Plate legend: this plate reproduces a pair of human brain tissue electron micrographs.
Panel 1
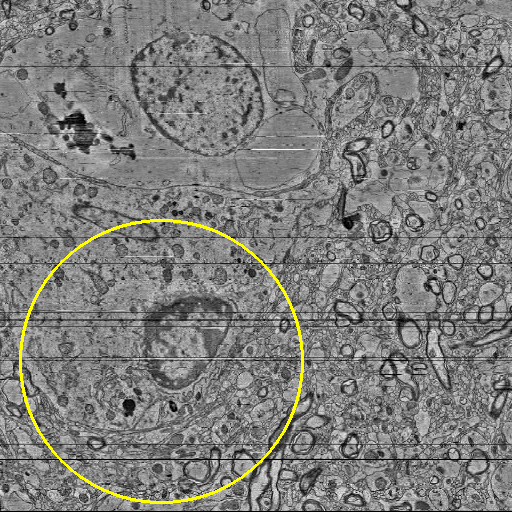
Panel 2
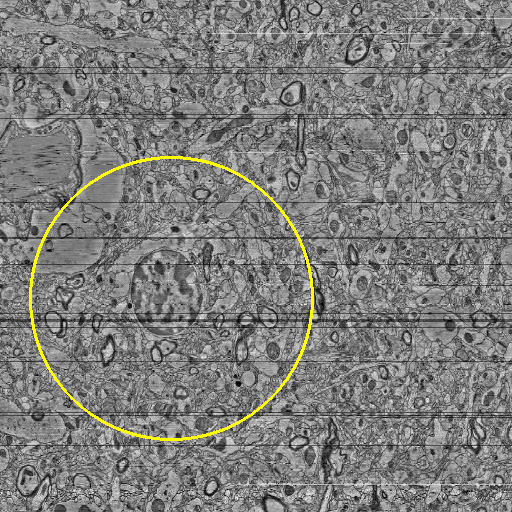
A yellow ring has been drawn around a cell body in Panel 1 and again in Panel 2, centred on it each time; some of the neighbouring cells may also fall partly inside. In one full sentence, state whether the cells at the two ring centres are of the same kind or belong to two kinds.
The ring-centred cells of Panel 1 and Panel 2 are of the same kind.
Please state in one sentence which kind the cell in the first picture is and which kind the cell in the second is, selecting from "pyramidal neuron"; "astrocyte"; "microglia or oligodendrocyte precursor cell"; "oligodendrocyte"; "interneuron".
The ring centre holds a microglial cell or oligodendrocyte precursor cell in each of the two pictures.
